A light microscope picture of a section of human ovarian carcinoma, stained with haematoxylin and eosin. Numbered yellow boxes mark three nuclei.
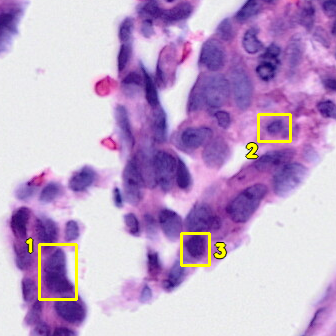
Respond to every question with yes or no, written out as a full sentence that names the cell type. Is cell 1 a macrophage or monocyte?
No, number 1 is not a macrophage or monocyte; it is a carcinoma cell.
